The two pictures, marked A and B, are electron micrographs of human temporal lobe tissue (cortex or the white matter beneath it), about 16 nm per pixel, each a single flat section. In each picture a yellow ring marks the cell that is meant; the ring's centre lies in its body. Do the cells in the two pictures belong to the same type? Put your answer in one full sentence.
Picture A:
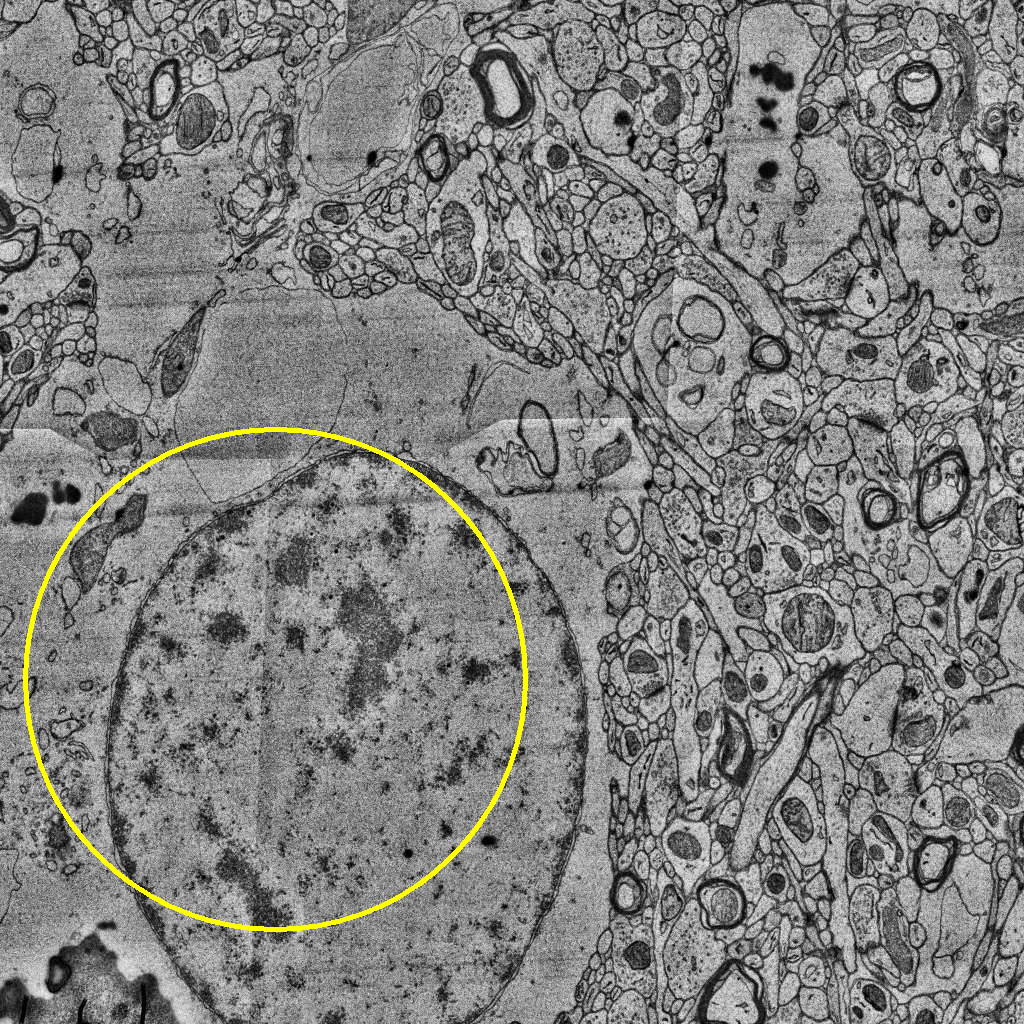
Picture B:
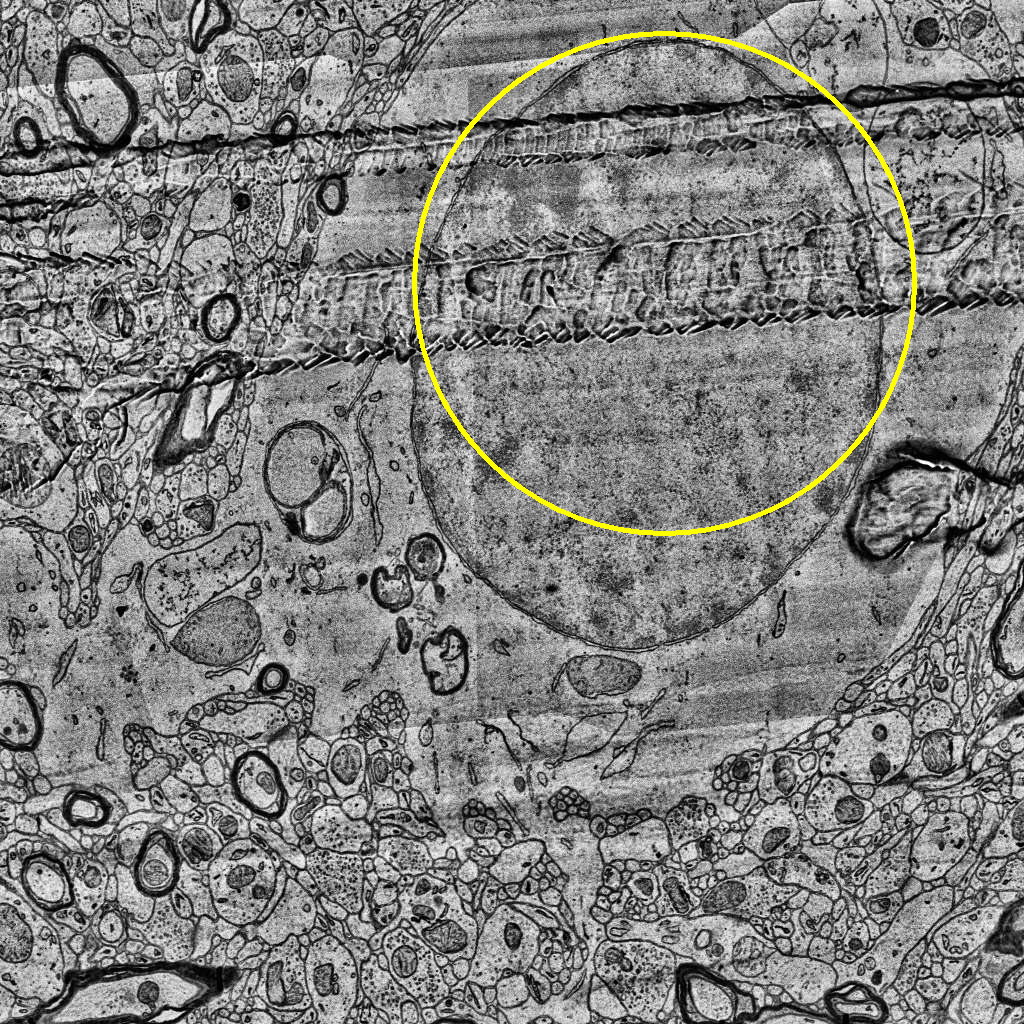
Yes, both cells are astrocytes.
